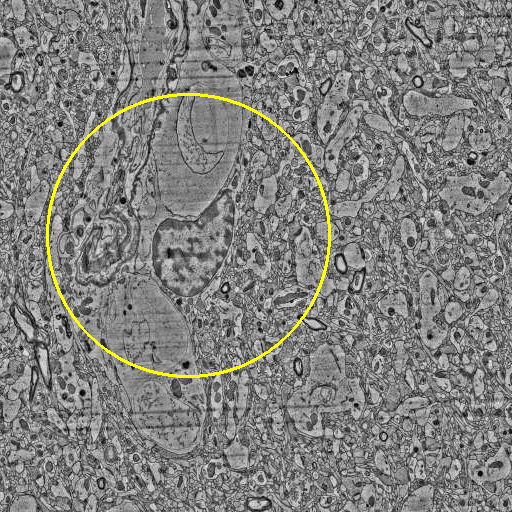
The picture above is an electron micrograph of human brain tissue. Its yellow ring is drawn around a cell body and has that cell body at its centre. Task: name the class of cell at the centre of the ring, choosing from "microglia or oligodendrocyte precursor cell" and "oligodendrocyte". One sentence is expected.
The ring surrounds the body of a microglial cell or oligodendrocyte precursor cell.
